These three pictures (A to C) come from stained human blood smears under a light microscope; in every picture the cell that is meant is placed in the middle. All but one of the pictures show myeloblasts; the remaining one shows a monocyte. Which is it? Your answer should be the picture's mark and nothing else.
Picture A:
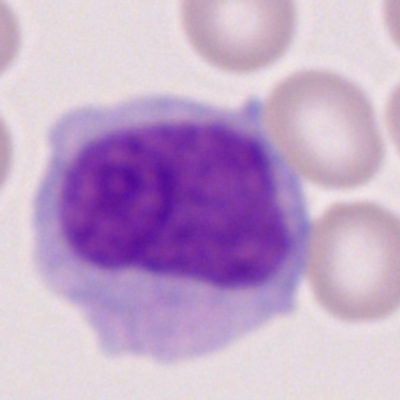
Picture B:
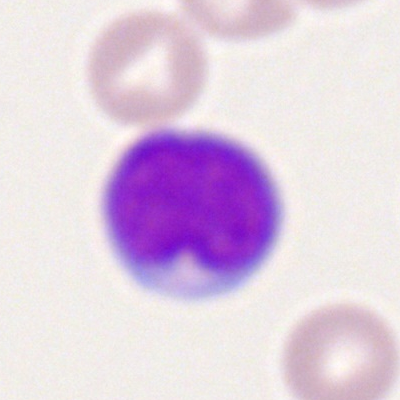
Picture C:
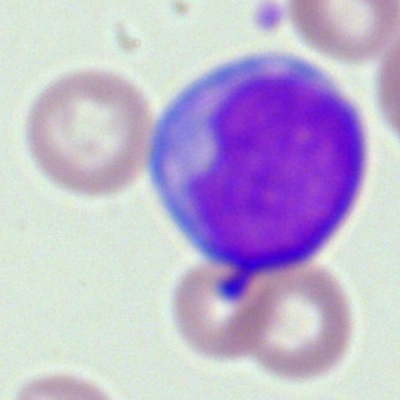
A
